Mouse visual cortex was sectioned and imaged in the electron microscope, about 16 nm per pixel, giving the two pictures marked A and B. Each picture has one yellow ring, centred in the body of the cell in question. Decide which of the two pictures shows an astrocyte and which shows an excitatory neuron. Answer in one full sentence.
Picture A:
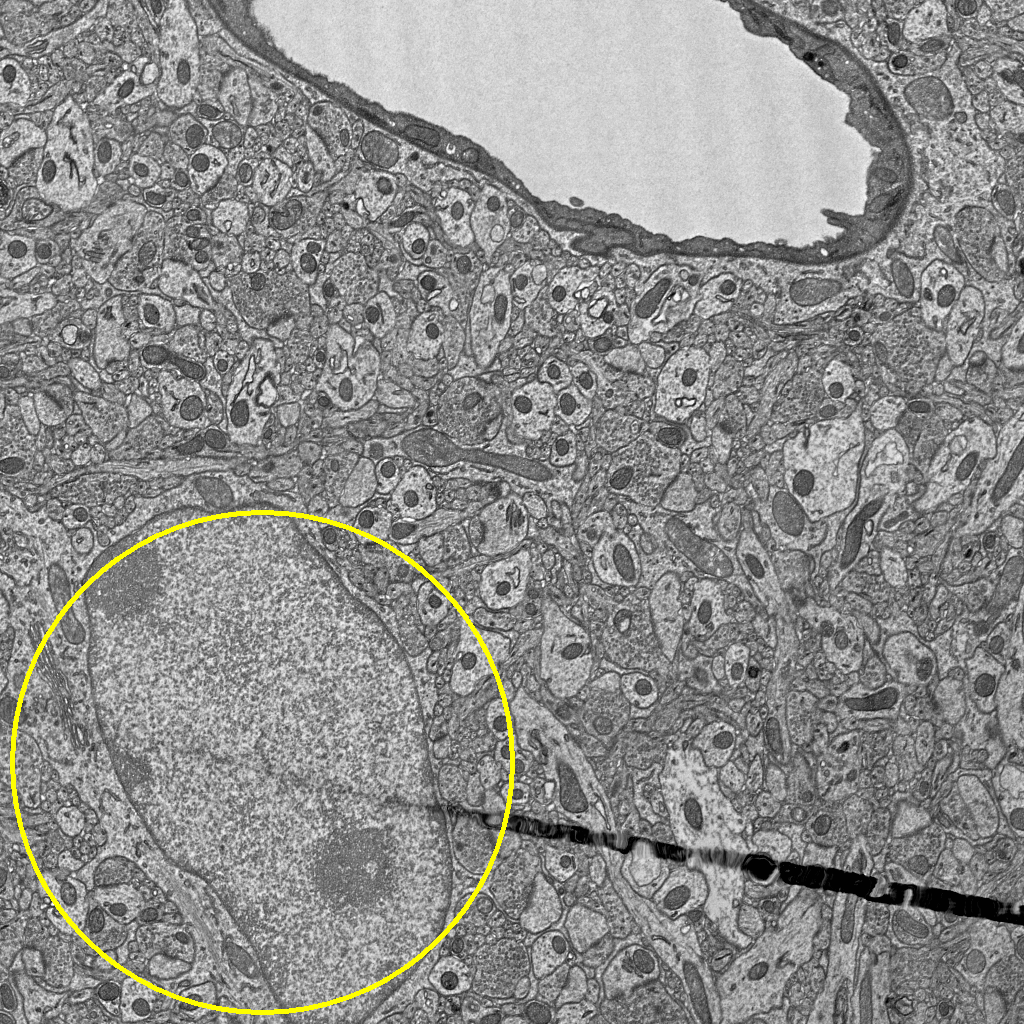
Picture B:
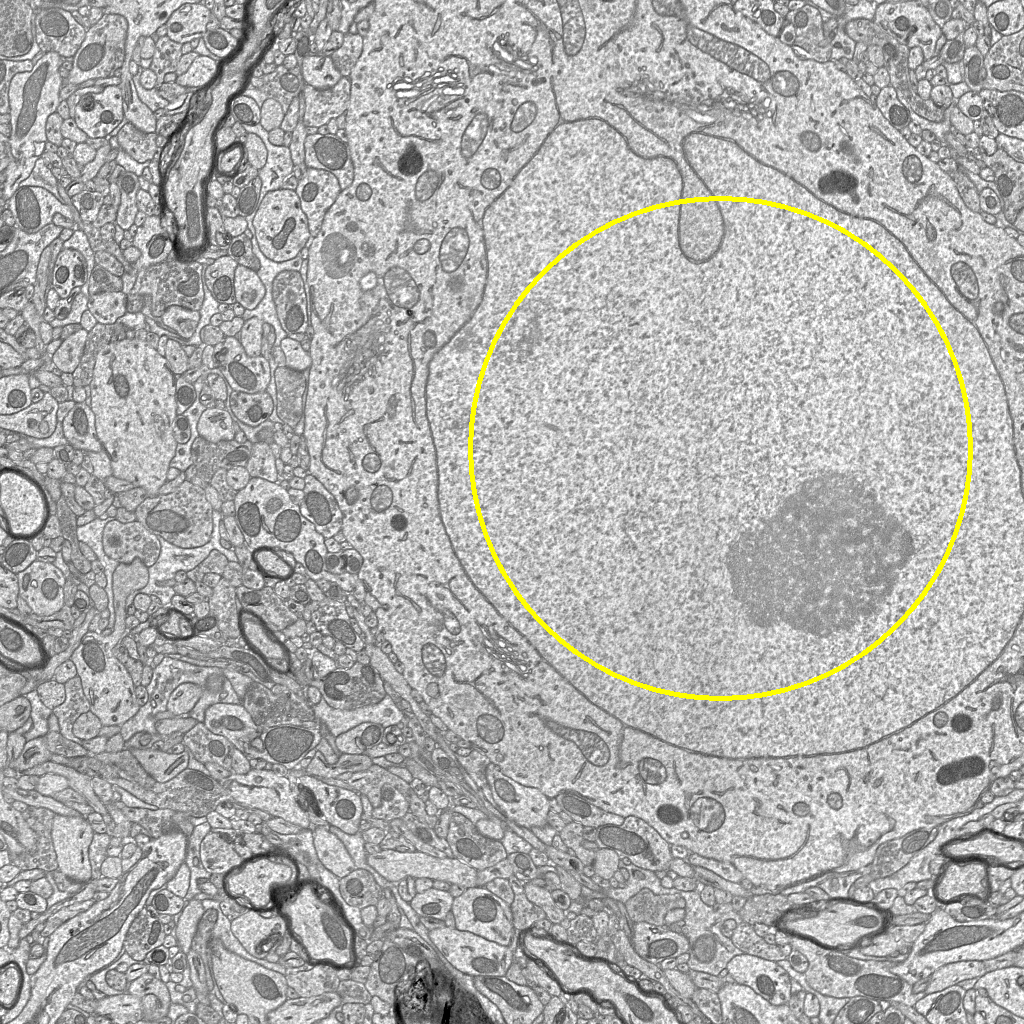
In picture A the cell is an astrocyte; in picture B, an excitatory neuron.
